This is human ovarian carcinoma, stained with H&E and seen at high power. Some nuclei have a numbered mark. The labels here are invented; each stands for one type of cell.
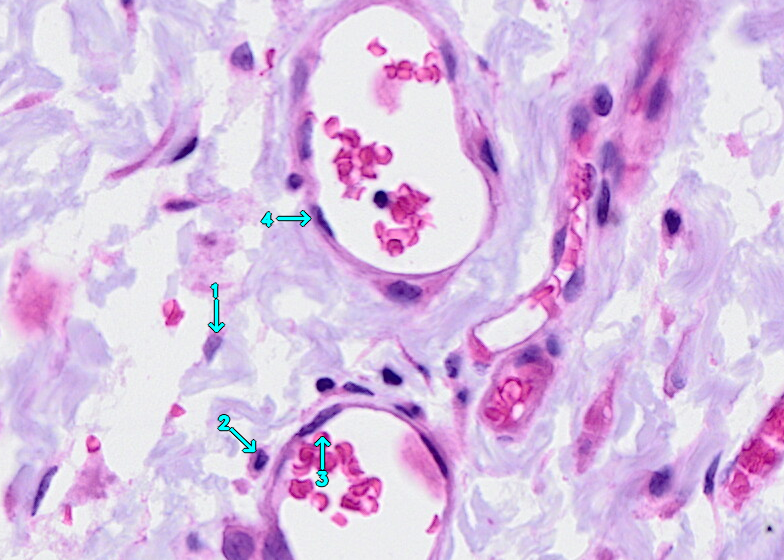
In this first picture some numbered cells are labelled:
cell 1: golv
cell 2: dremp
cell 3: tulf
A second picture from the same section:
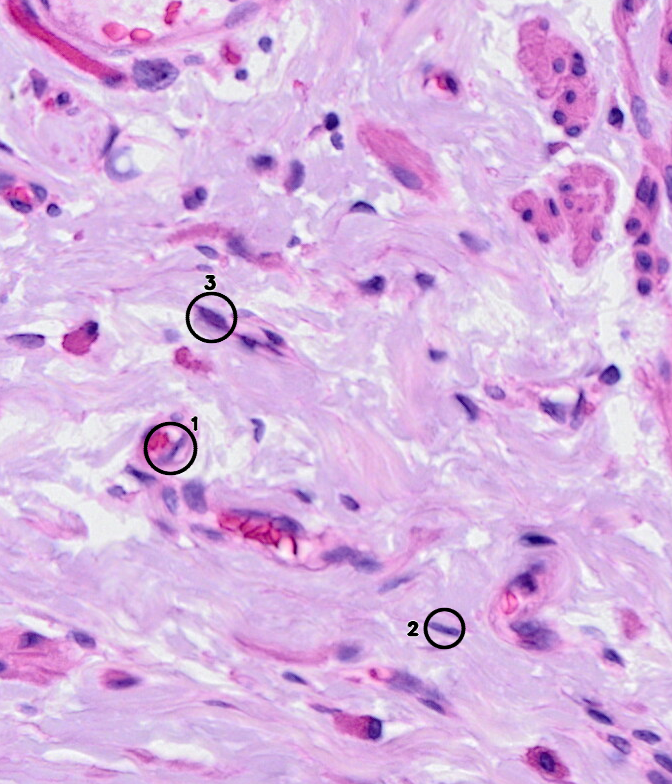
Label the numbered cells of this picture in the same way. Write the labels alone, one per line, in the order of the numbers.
tulf
golv
golv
